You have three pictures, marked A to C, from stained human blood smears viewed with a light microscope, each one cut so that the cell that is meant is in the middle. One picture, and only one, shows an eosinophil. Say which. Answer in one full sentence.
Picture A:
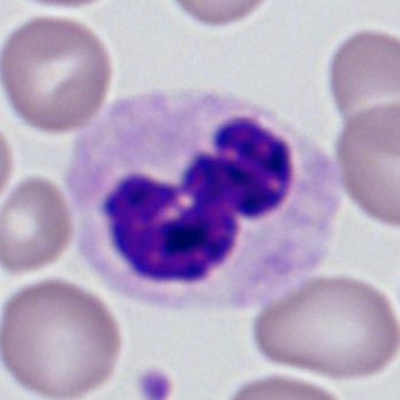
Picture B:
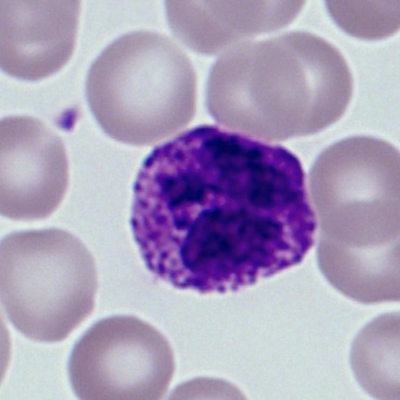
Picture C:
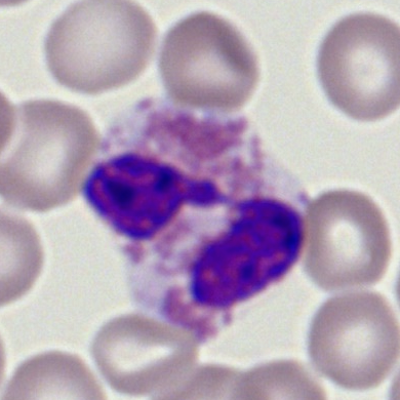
Picture C shows the eosinophil.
